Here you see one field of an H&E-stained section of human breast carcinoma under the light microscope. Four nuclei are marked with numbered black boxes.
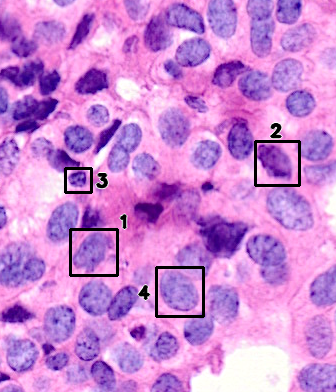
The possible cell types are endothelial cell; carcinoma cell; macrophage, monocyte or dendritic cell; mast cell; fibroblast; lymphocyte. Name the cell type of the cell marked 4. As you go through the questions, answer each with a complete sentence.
Cell number 4 in this section is a carcinoma cell.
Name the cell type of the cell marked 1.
In this section, the cell numbered 1 is a carcinoma cell.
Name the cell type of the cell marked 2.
Cell 2, as marked in the section, is a carcinoma cell.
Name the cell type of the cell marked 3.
The cell marked with number 3 is a lymphocyte.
